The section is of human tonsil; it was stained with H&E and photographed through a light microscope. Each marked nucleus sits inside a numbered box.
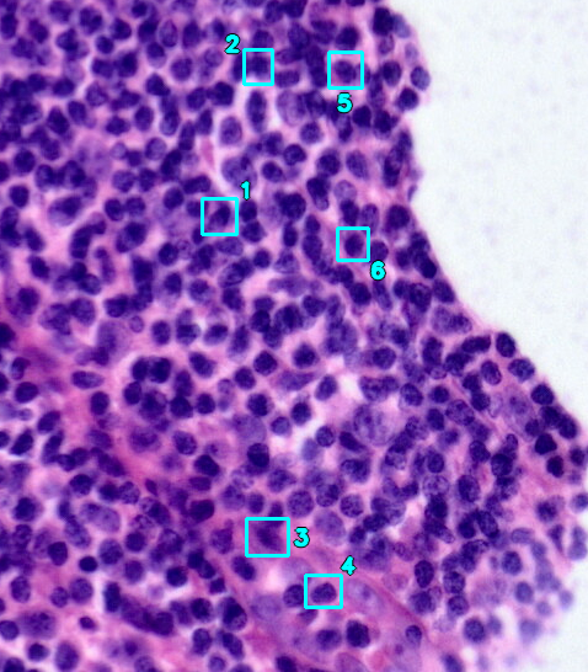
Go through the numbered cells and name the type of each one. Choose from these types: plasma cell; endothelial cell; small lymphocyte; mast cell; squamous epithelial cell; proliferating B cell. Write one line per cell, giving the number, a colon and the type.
1: small lymphocyte
2: small lymphocyte
3: endothelial cell
4: endothelial cell
5: small lymphocyte
6: small lymphocyte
